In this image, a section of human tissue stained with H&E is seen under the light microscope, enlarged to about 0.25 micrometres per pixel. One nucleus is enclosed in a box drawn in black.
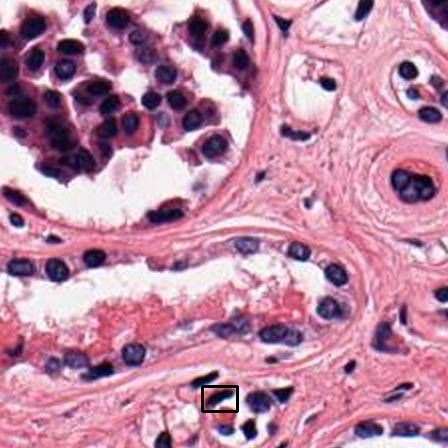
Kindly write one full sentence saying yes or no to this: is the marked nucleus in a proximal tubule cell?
No, a supporting cell, not a proximal tubule cell, carries the marked nucleus.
